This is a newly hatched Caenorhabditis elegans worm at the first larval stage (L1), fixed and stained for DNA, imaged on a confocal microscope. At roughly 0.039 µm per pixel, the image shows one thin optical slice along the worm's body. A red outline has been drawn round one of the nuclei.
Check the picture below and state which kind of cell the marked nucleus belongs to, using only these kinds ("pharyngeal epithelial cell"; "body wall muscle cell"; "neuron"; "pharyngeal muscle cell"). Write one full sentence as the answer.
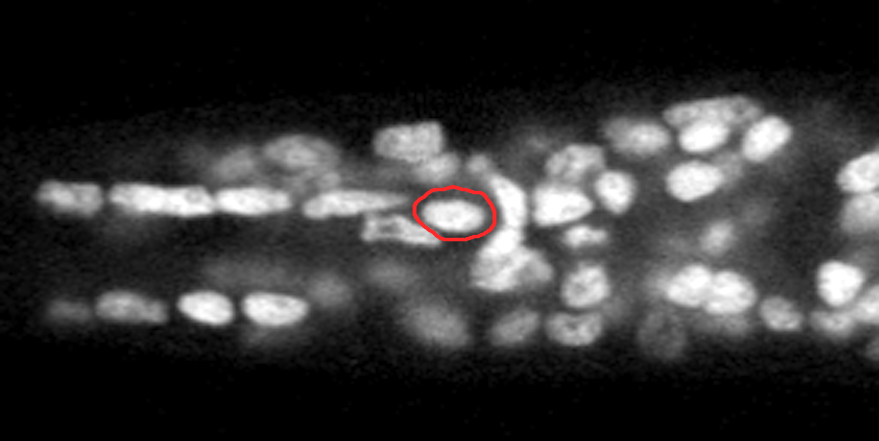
It is the nucleus of a neuron.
